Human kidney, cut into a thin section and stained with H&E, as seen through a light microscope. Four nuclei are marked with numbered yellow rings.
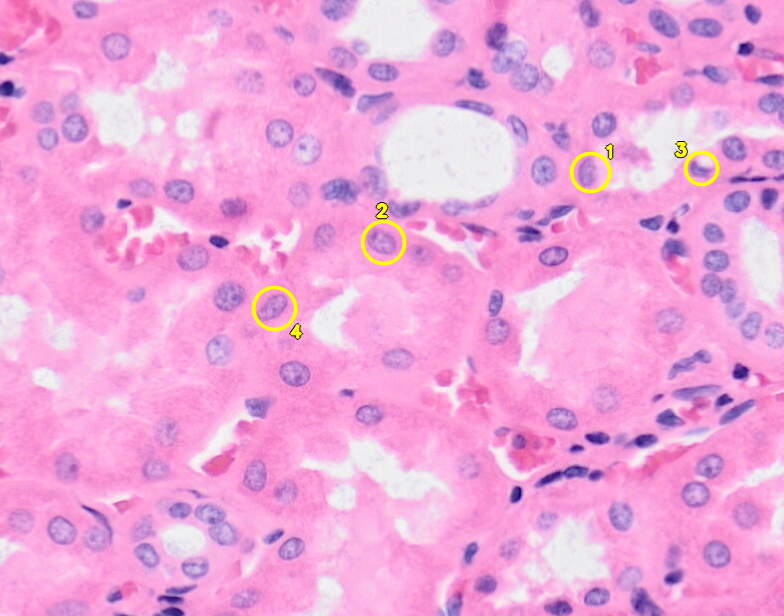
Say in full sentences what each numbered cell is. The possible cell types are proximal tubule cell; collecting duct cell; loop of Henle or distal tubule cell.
Cell 1 is a loop of Henle or distal tubule cell, cell 2 is a proximal tubule cell, cell 3 is a loop of Henle or distal tubule cell and cell 4 is a proximal tubule cell.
